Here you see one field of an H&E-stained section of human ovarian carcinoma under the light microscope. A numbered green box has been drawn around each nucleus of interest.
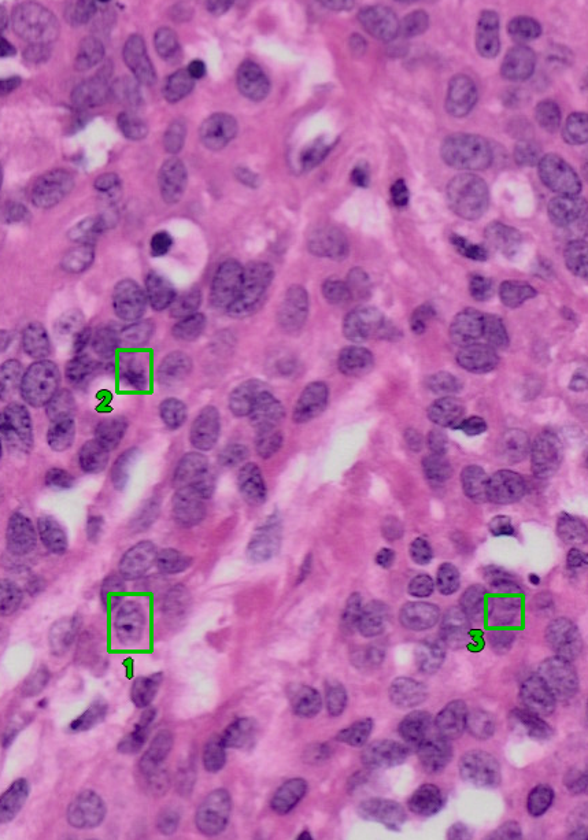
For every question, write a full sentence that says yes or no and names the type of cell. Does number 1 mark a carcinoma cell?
No, cell 1 counts as a macrophage or monocyte rather than as a carcinoma cell.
